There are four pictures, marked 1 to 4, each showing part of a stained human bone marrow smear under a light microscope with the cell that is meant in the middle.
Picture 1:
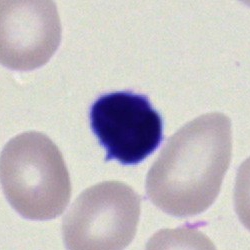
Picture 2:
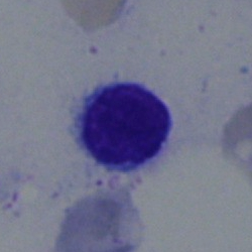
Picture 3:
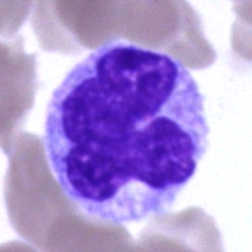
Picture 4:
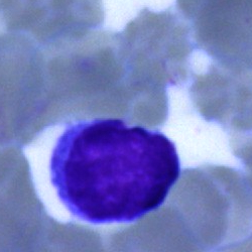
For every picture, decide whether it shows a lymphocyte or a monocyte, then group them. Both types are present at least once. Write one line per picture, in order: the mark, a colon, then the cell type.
1: lymphocyte
2: lymphocyte
3: monocyte
4: lymphocyte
